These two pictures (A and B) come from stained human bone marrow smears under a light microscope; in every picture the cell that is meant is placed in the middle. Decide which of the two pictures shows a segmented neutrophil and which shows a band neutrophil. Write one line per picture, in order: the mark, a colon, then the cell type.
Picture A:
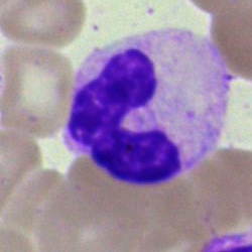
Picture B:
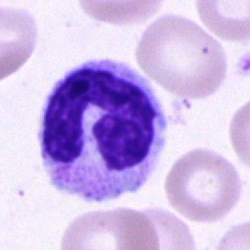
A: segmented neutrophil
B: band neutrophil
